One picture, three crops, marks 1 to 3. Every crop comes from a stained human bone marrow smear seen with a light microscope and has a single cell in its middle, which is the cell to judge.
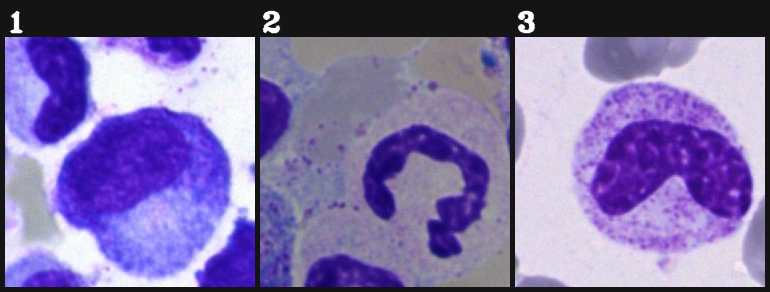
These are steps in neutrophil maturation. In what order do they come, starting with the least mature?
1, 3, 2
